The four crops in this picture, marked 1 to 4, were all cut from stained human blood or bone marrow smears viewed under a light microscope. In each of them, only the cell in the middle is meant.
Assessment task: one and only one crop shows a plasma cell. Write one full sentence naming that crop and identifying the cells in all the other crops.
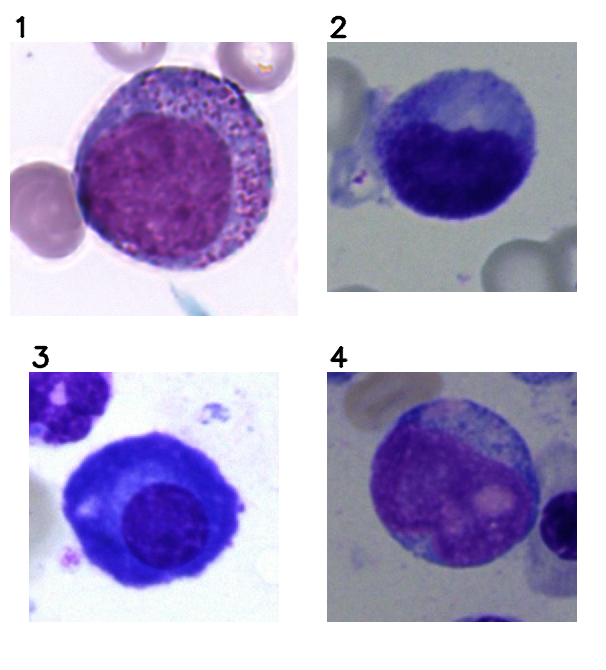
In crop 3 the cell shown is a plasma cell, and crop 1 is a promyelocyte, crop 2 is a myelocyte and crop 4 is a blast.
